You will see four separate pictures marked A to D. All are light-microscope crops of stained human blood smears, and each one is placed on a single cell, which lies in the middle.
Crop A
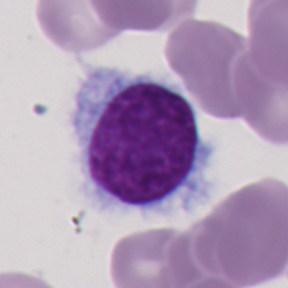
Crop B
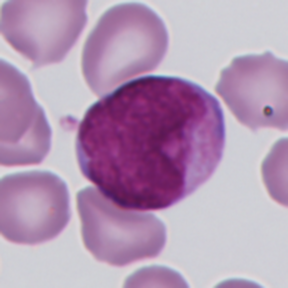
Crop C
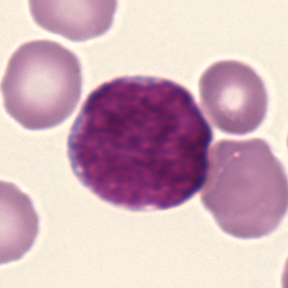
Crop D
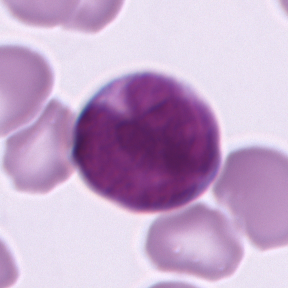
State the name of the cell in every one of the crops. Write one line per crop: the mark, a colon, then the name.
A: hairy cell
B: blast
C: blast
D: blast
